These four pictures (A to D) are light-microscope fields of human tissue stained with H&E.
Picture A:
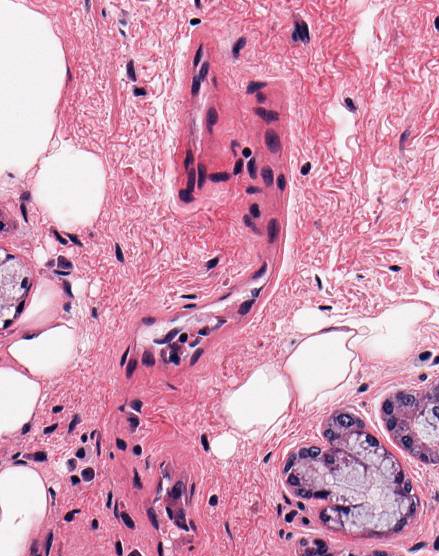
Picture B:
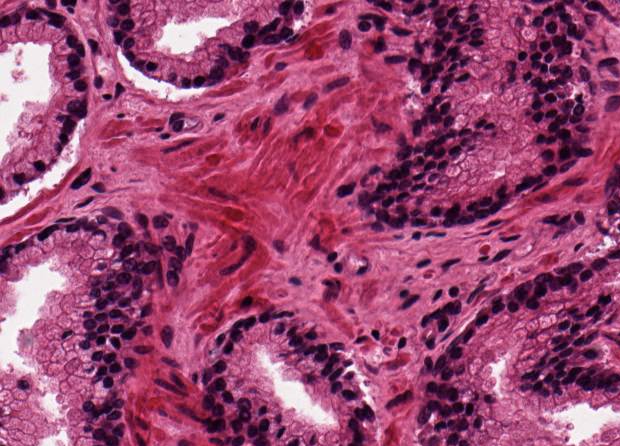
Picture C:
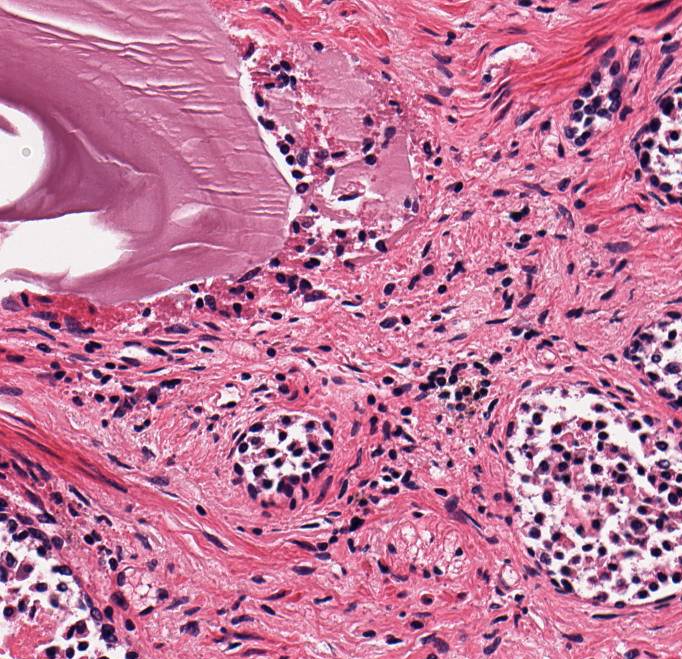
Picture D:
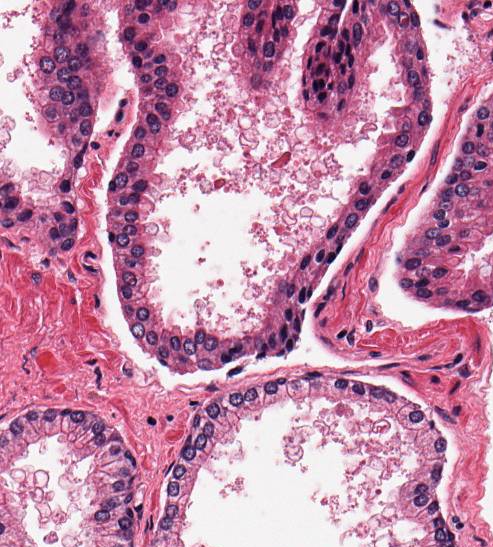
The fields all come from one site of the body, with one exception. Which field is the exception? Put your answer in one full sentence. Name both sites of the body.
The others come from the prostate, but picture A comes from a minor salivary gland.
